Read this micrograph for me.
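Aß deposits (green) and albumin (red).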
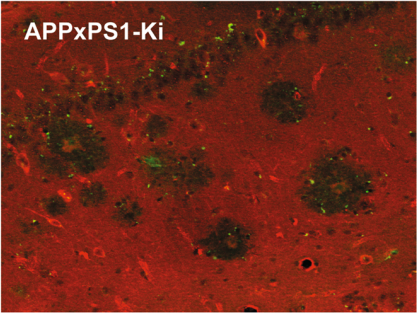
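Brain tissue in which red fluorescence is spread diffusely through the whole parenchyma rather than kept to vessels. Several rounded, darker patches of varying size interrupt the red background, some with red or greenish material at their centres. Small bright green puncta are scattered across the field, and a few vessel profiles stand out as brighter red rings and strands.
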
